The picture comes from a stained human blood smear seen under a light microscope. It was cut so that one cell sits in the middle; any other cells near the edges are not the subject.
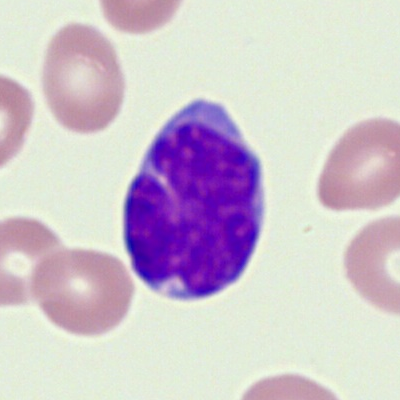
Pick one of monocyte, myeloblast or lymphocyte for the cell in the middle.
monocyte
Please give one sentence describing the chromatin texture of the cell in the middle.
Its chromatin is clumped in a coarse pattern.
